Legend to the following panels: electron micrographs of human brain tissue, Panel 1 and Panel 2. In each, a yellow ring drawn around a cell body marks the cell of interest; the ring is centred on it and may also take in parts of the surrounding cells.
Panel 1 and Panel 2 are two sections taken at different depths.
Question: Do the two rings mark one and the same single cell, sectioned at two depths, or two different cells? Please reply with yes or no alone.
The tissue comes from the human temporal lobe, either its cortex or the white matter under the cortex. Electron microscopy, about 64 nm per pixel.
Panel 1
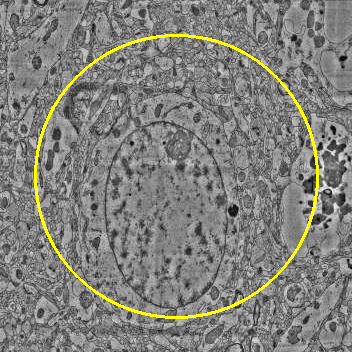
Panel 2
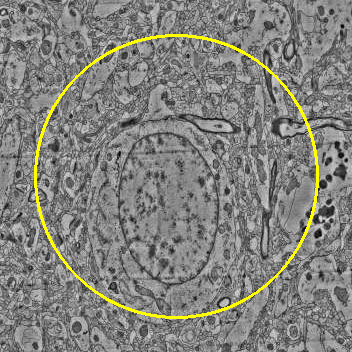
yes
